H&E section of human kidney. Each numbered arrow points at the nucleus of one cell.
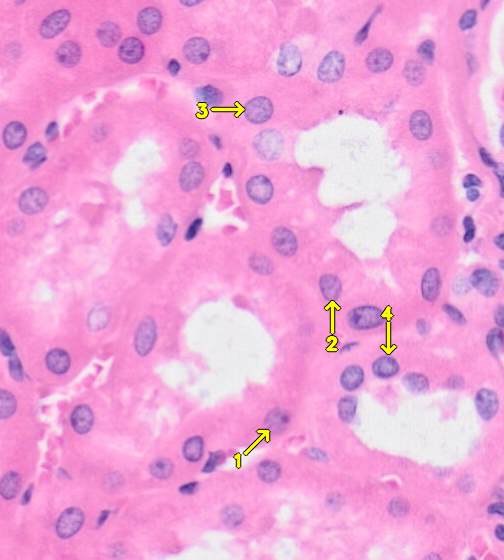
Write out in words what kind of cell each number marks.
Cells 1, 2 and 3 are proximal tubule cells. Cell 4 is a loop of Henle or distal tubule cell.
